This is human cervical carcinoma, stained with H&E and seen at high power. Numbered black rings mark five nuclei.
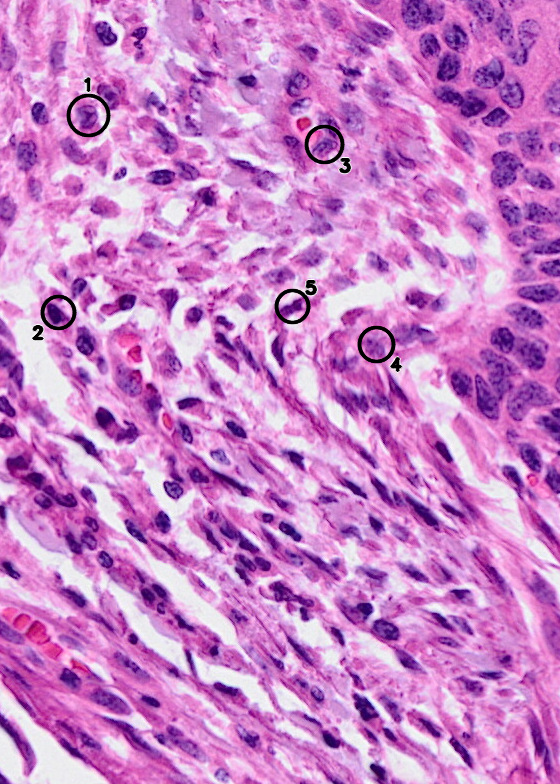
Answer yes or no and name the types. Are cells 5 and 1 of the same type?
No, the cell numbered 5 is a fibroblast, and the cell numbered 1 is a macrophage or monocyte.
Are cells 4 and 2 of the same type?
No, sorry, cell 4 is a fibroblast and cell 2 is a lymphocyte.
